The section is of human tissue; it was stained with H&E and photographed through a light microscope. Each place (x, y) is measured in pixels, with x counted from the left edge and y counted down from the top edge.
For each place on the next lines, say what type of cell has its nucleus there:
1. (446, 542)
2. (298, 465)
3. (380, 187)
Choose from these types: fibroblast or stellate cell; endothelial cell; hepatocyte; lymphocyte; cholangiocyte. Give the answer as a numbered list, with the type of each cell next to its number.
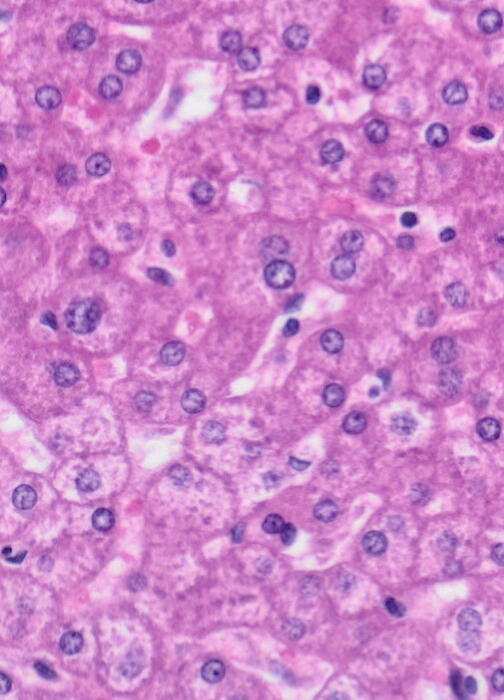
1. hepatocyte
2. endothelial cell
3. hepatocyte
